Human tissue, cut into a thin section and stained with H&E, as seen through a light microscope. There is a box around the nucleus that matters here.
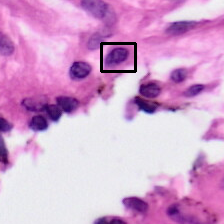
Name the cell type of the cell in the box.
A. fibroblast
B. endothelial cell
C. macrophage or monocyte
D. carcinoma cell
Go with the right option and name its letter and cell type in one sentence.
Option C holds, since the cell in the box is a macrophage or monocyte.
